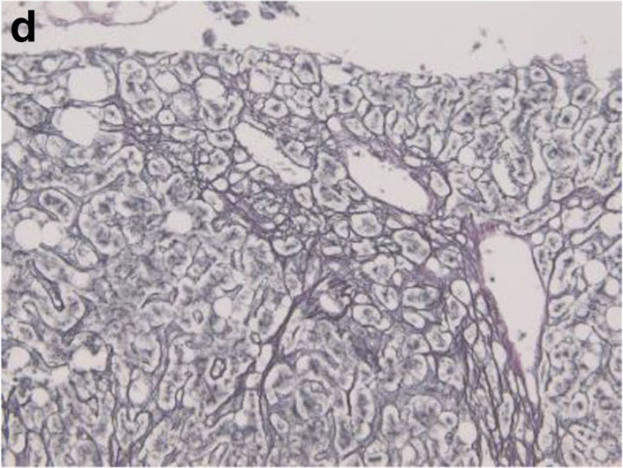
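Liver tissue in which thin dark fibres draw a fine network around single cells and small groups of cells, so the cells look individually caged. Several clear round spaces and elongated vessel lumens lie among them, and thicker dark strands run alongside the vessels.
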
